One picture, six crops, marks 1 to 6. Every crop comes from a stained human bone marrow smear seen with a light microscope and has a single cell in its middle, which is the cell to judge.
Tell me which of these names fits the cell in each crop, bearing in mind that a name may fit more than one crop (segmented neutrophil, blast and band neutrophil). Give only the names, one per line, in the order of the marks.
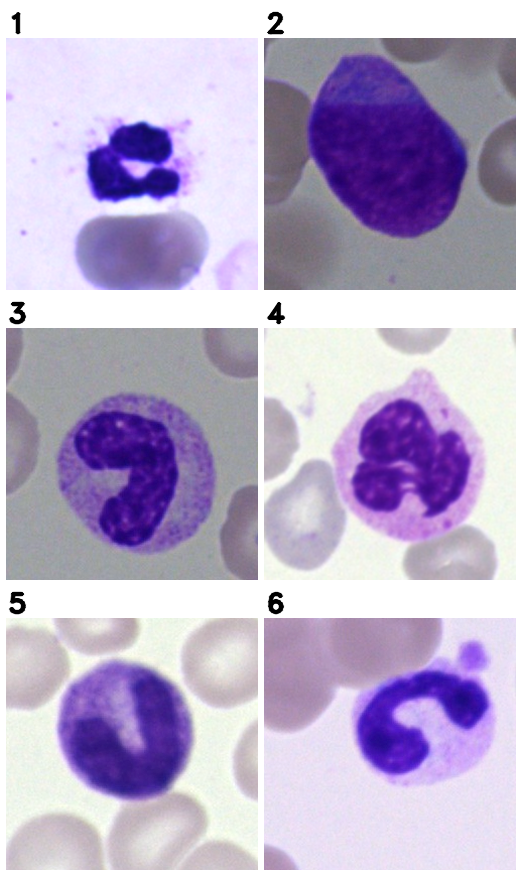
segmented neutrophil
blast
band neutrophil
segmented neutrophil
band neutrophil
band neutrophil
